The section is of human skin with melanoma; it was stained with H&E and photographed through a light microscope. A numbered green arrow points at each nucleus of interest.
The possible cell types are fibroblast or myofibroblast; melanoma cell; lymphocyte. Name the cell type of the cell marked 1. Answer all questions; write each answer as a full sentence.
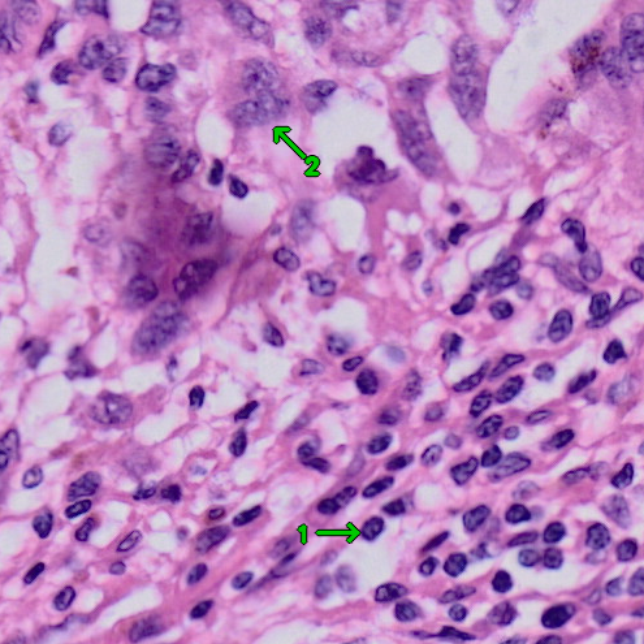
In the marked set, the cell given number 1 is a lymphocyte.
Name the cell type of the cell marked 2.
The marked nucleus 2 is that of a melanoma cell.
